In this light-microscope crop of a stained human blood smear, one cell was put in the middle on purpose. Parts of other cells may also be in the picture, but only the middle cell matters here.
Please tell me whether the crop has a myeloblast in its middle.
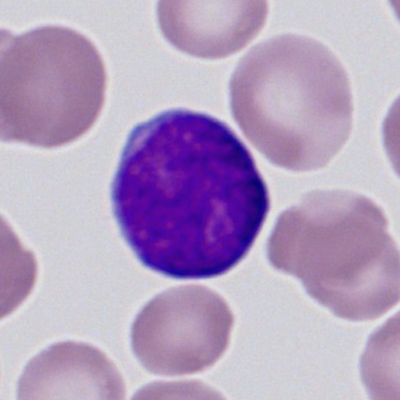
no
